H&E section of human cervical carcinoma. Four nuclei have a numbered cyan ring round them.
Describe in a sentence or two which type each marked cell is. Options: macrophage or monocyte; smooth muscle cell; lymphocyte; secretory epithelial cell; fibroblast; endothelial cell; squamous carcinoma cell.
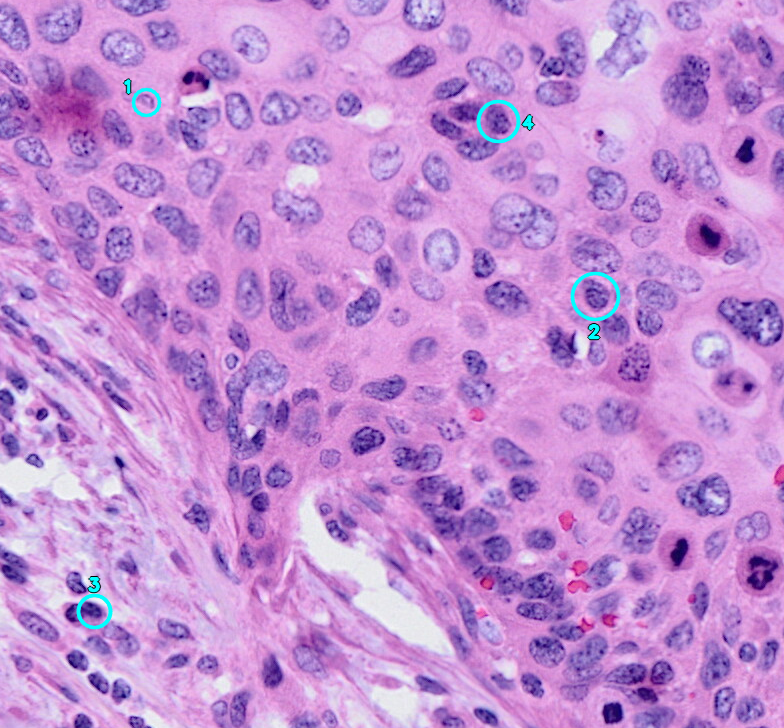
Cells 1, 2 and 4 are squamous carcinoma cells. Cell 3 is a lymphocyte.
